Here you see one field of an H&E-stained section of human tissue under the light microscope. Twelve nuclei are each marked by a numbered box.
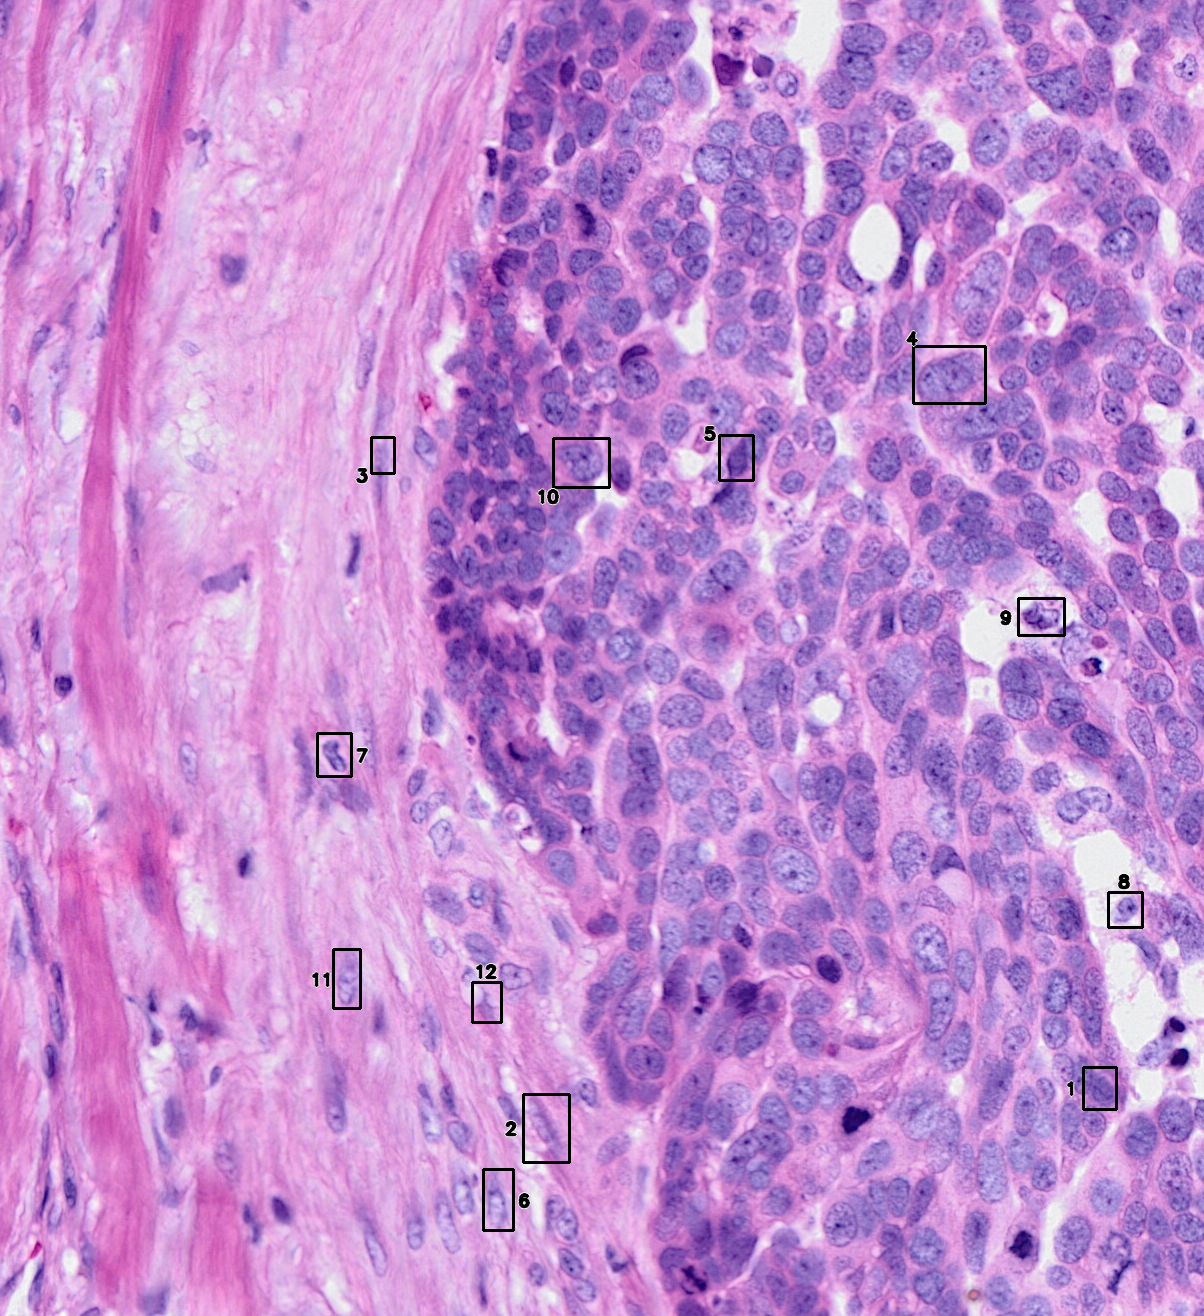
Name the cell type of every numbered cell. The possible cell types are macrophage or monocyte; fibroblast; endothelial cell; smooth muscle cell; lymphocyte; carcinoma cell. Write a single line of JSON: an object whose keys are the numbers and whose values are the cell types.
{"1": "carcinoma cell", "2": "fibroblast", "3": "fibroblast", "4": "carcinoma cell", "5": "carcinoma cell", "6": "fibroblast", "7": "lymphocyte", "8": "macrophage or monocyte", "9": "macrophage or monocyte", "10": "carcinoma cell", "11": "fibroblast", "12": "fibroblast"}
